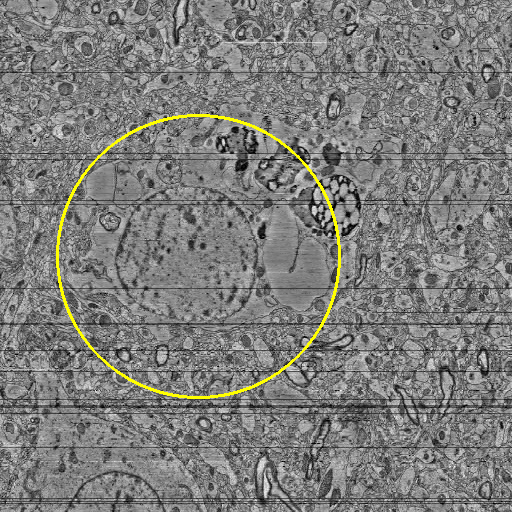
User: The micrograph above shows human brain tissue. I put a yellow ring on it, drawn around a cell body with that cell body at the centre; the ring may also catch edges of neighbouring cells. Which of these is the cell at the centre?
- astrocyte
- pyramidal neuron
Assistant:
astrocyte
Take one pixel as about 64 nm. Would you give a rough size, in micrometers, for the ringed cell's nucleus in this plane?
The nucleus is approximately 9 micrometers across in this plane.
